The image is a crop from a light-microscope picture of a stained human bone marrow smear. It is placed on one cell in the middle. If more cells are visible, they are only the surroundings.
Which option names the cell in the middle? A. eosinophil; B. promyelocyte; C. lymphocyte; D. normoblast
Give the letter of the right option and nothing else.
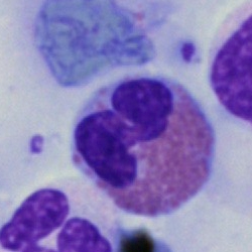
A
